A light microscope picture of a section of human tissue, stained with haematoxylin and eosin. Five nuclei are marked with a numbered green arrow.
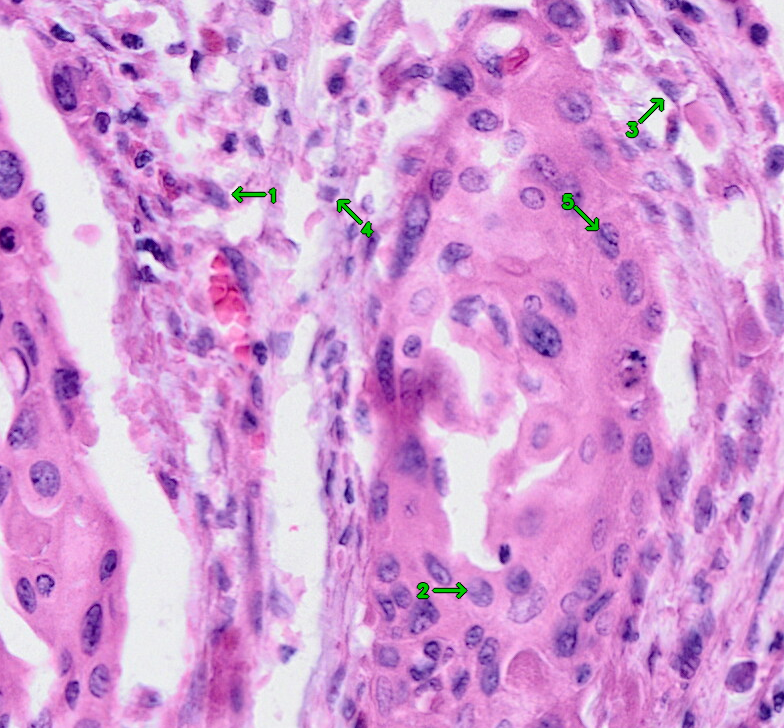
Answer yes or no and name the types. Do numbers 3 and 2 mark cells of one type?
No, cell 3 is a fibroblast and cell 2 is a squamous carcinoma cell.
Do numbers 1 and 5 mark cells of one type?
No, cell 1 is a fibroblast and cell 5 is a squamous carcinoma cell.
